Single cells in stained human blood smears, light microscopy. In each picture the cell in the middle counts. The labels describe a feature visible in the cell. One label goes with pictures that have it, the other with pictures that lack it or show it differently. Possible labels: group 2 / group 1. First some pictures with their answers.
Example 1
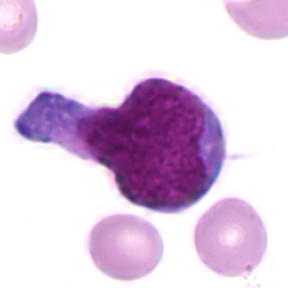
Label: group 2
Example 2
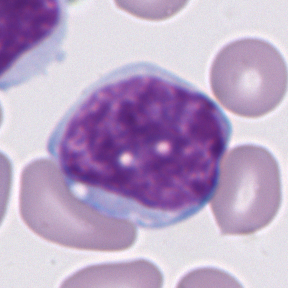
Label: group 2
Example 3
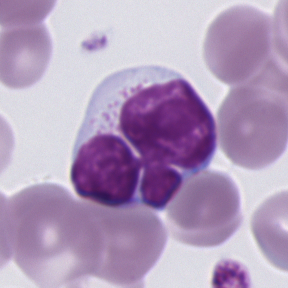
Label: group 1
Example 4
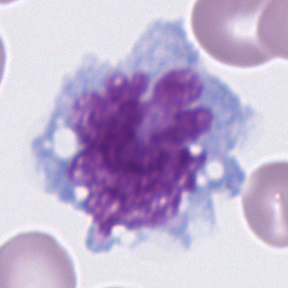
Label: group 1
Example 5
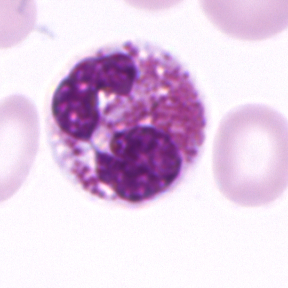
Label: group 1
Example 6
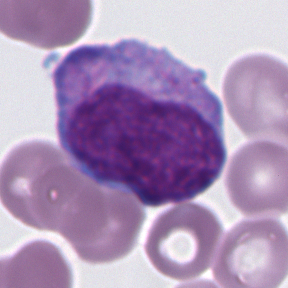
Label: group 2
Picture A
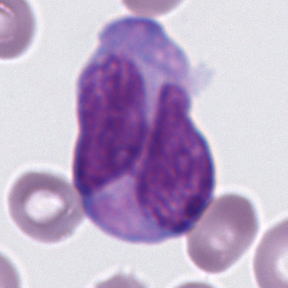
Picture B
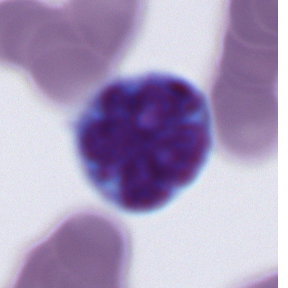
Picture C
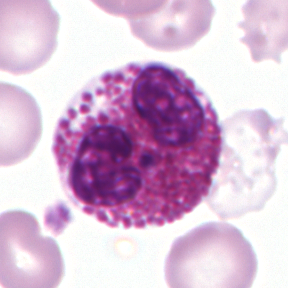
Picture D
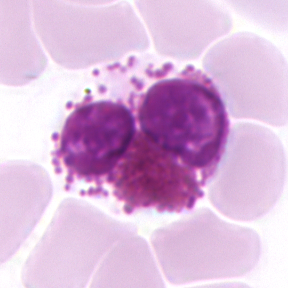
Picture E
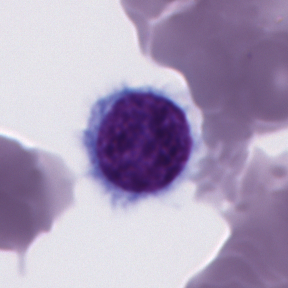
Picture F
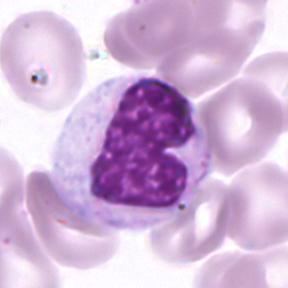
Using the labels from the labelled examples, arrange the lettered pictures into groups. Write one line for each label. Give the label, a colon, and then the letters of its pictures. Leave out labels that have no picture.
group 2: E, F
group 1: A, B, C, D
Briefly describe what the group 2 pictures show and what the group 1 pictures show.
In group 2: single compact nucleus. In group 1: lobed nucleus.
